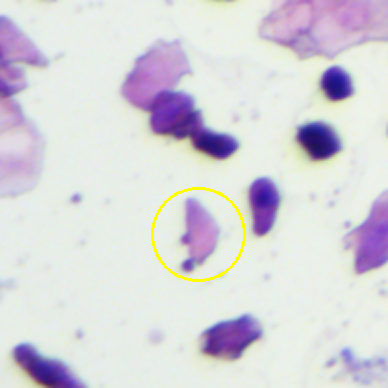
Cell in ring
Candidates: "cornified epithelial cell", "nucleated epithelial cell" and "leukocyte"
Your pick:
cornified epithelial cell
